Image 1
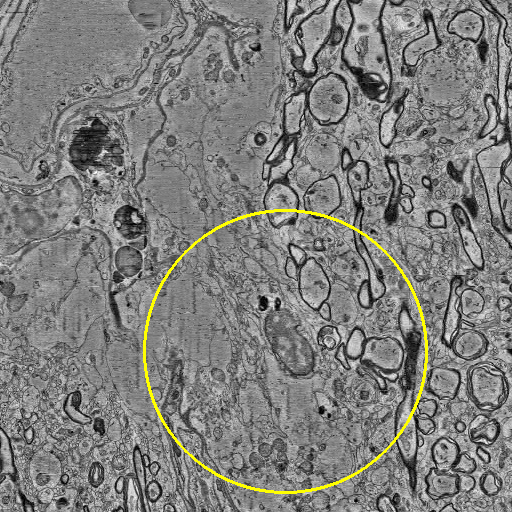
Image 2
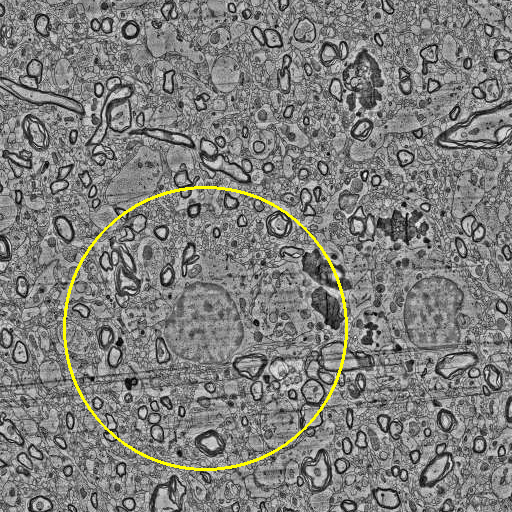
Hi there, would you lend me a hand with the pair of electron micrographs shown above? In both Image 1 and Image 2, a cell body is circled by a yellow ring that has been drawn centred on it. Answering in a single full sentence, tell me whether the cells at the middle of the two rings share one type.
No, the ringed cells in Image 1 and Image 2 belong to two types.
